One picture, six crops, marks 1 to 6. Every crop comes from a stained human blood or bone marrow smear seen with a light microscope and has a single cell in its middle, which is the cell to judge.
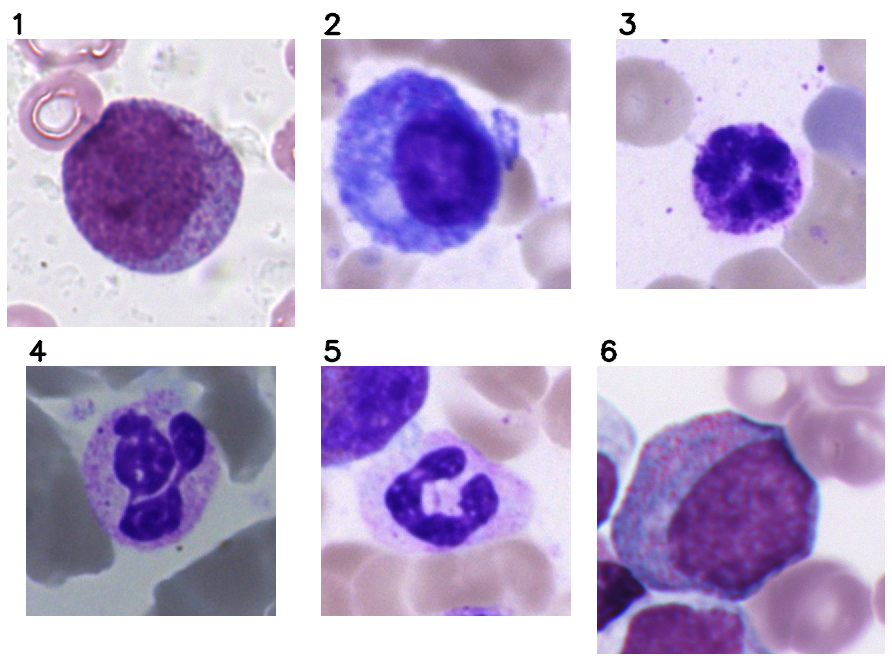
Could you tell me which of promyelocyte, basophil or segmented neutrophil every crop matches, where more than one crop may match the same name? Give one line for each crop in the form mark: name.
1: promyelocyte
2: promyelocyte
3: basophil
4: segmented neutrophil
5: segmented neutrophil
6: promyelocyte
